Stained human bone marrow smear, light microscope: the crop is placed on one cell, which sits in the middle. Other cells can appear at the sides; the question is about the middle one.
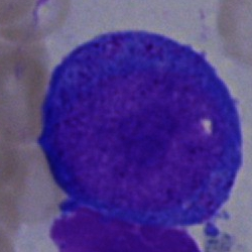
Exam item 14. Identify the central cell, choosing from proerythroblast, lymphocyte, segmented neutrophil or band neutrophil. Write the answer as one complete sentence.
By type, the central cell of the crop is a proerythroblast.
